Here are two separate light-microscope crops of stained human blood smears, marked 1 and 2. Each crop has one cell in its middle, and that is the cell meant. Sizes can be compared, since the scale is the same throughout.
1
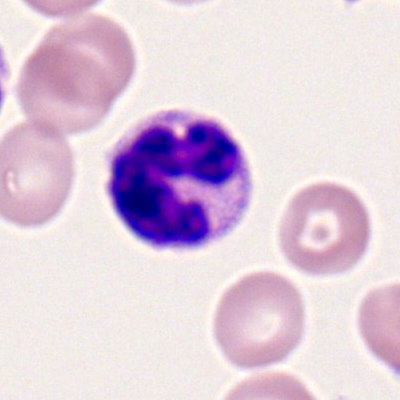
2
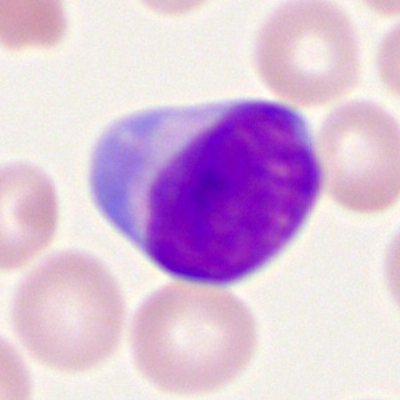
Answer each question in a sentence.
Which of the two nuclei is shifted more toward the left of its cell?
In picture 1 the nucleus is shifted more toward the left.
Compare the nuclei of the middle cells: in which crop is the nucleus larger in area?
Larger is the nucleus in picture 2, at roughly 2 times the area of the other.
